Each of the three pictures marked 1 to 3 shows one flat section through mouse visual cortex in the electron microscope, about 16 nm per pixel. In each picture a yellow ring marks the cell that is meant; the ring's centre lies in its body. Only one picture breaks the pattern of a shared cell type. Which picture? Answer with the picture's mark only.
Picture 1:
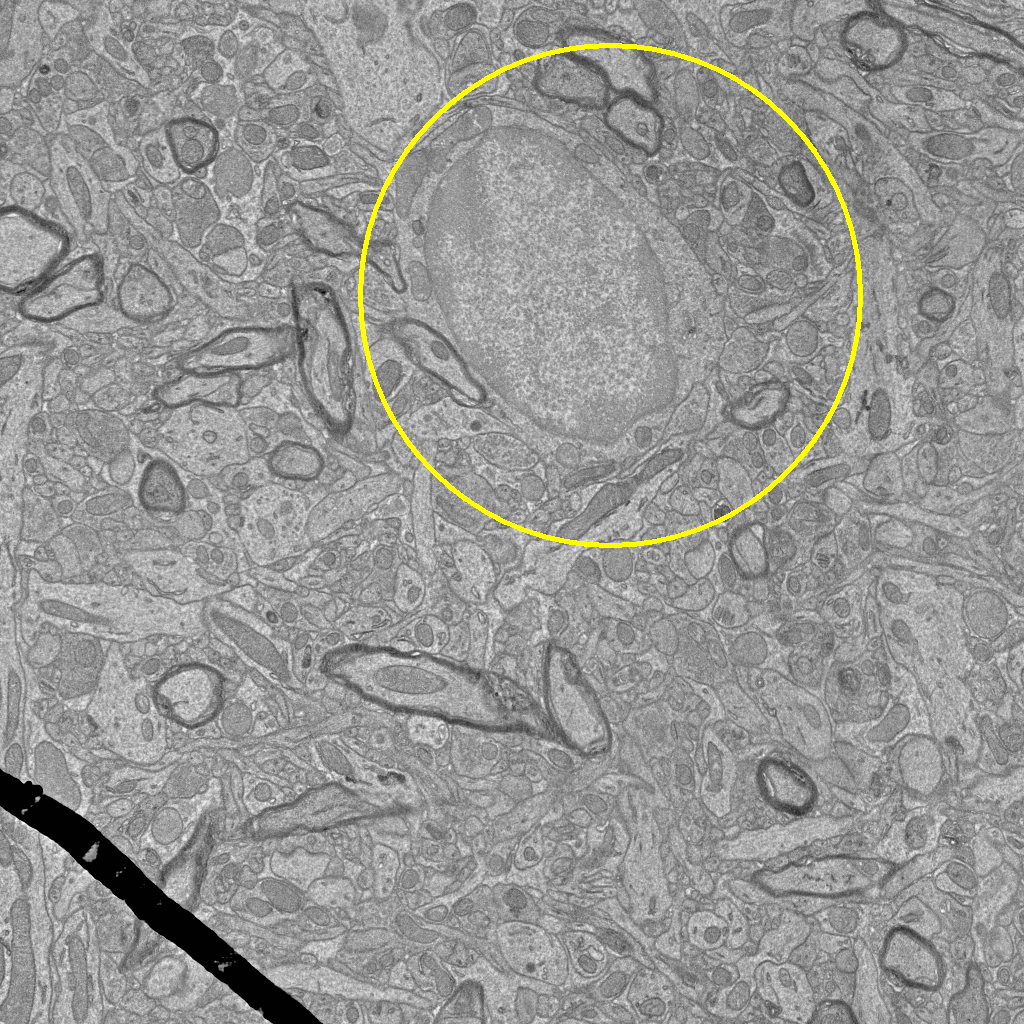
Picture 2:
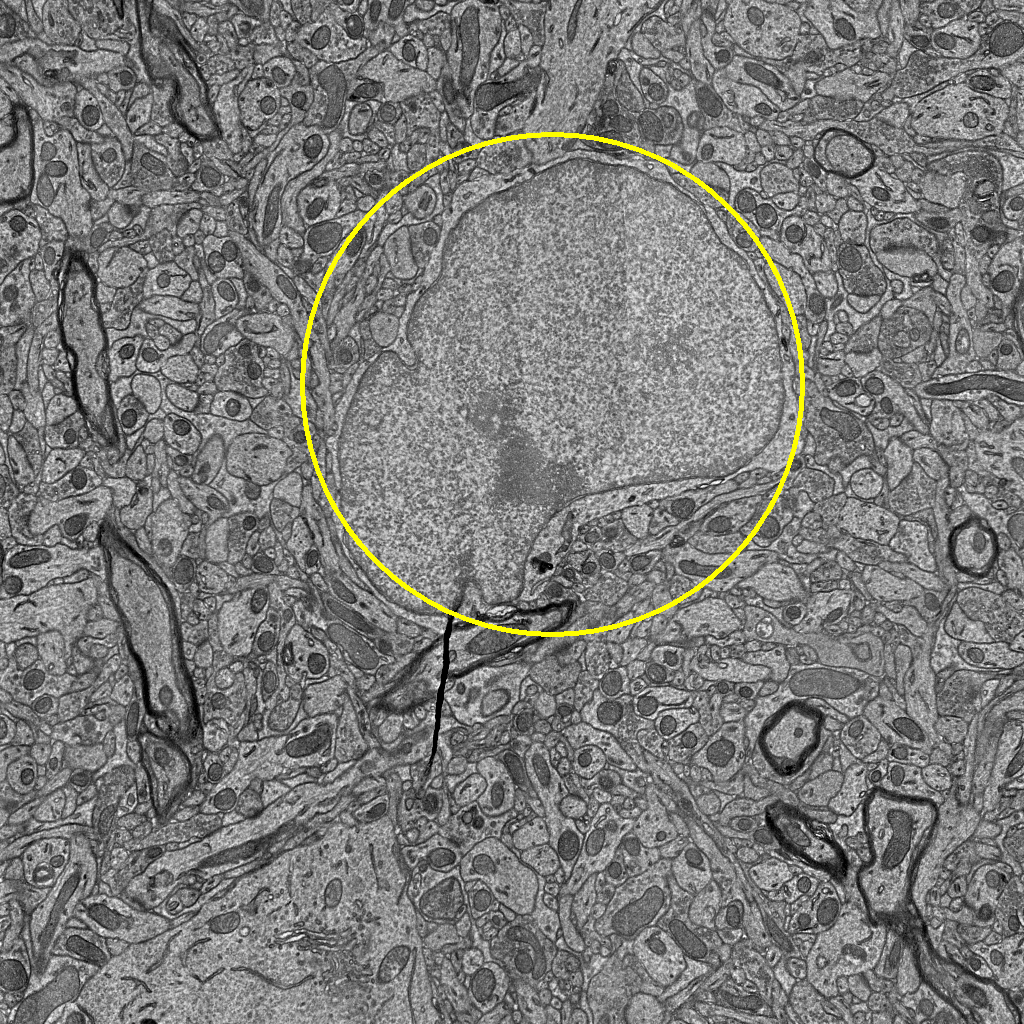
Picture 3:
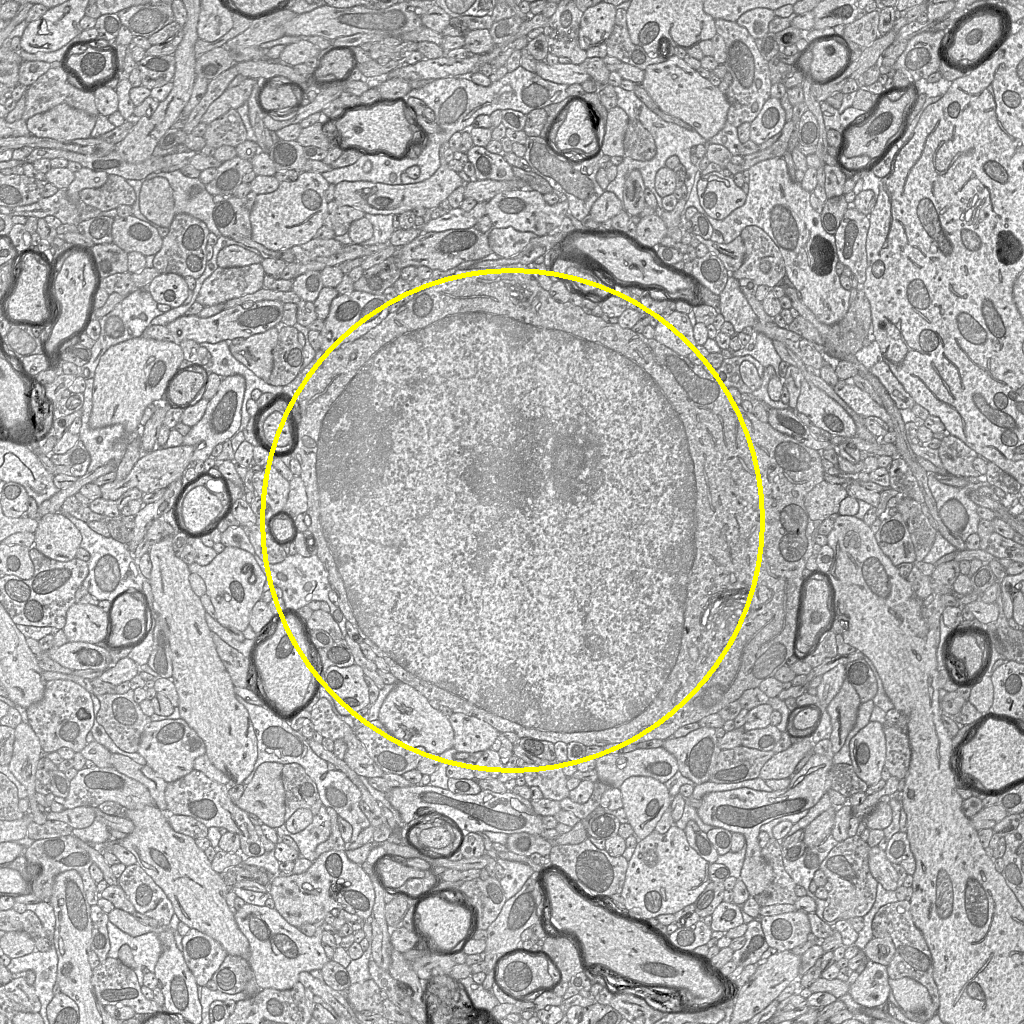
2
